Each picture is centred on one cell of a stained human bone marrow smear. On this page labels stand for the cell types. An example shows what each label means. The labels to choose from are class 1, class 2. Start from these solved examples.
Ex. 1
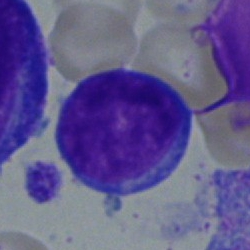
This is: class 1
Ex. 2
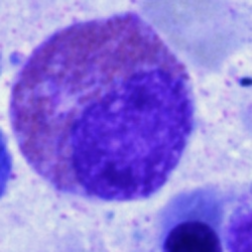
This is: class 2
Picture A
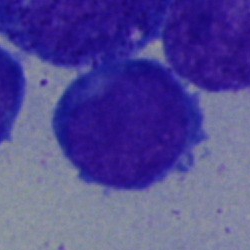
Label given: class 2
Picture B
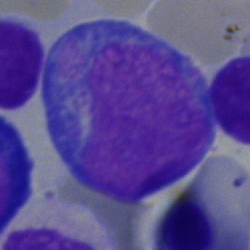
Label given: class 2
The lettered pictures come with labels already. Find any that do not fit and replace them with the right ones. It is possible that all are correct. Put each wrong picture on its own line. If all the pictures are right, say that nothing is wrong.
A: not class 2 but class 1
B: not class 2 but class 1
